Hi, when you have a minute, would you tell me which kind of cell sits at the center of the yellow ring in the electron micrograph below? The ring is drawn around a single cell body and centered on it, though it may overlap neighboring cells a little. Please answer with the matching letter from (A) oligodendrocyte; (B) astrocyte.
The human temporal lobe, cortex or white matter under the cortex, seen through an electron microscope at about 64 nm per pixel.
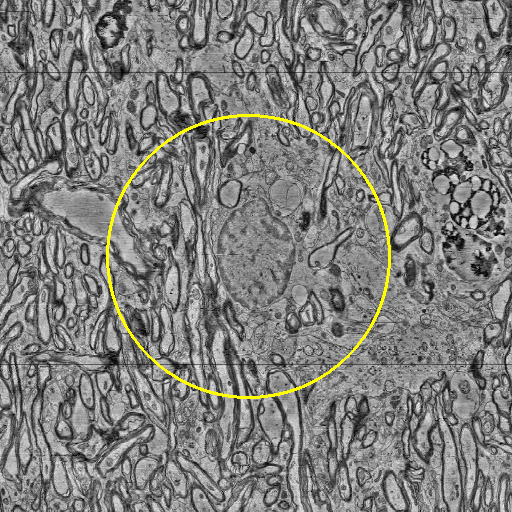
A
